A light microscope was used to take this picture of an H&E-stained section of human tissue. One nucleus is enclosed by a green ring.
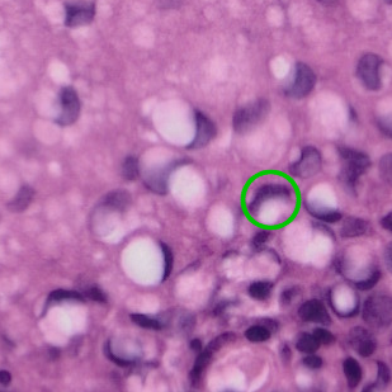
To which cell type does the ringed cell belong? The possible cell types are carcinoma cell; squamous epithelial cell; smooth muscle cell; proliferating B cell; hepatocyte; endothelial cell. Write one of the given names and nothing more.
squamous epithelial cell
